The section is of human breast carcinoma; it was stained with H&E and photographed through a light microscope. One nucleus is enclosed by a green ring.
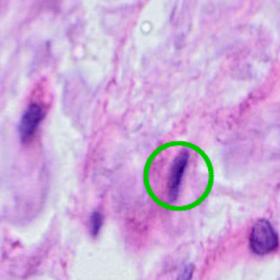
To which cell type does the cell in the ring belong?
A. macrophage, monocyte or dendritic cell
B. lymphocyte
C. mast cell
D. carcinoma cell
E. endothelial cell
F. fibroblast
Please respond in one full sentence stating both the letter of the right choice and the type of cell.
Here the cell in the ring is a fibroblast; pick option F.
